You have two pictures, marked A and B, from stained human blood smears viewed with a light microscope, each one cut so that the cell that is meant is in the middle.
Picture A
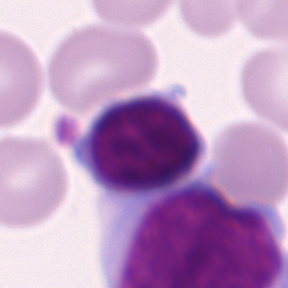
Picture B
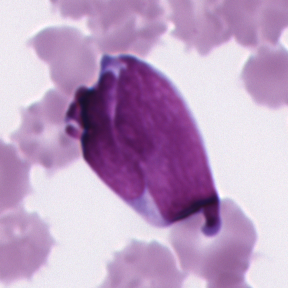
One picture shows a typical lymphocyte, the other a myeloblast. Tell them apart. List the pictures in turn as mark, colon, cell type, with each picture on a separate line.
A: typical lymphocyte
B: myeloblast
